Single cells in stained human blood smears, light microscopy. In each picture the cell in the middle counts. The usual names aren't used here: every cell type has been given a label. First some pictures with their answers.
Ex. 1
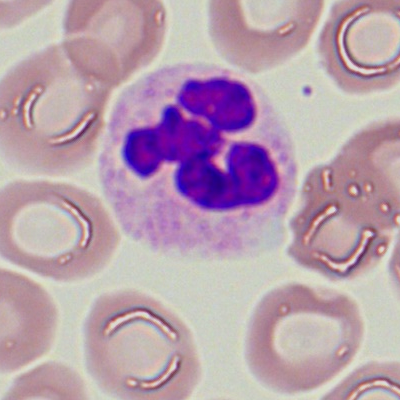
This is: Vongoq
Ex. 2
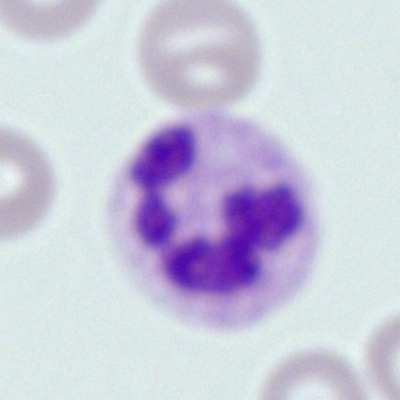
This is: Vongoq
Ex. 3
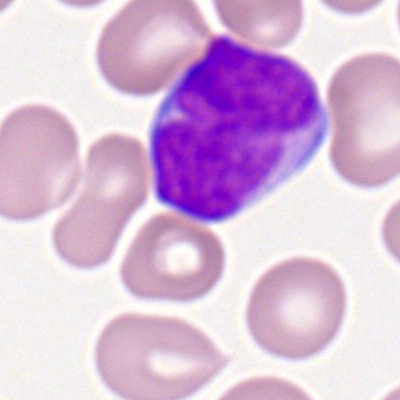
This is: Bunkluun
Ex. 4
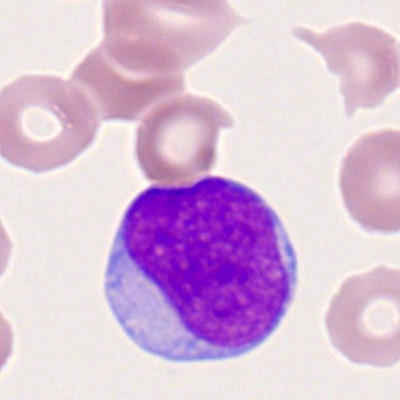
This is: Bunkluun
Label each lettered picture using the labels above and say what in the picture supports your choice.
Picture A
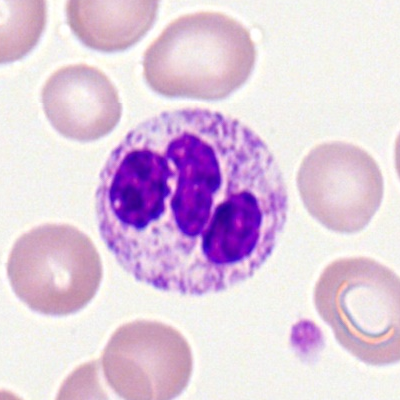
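Vongoq: The nucleus is divided into three lobes.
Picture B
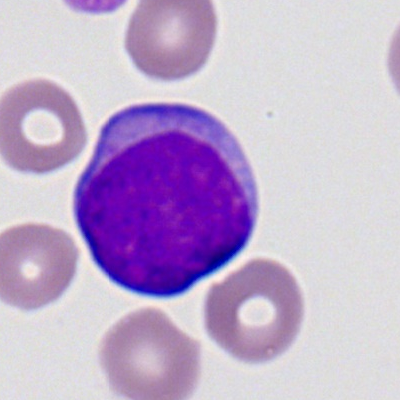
Bunkluun: The cytoplasm is a narrow rim that is widest along the upper edge of the cell.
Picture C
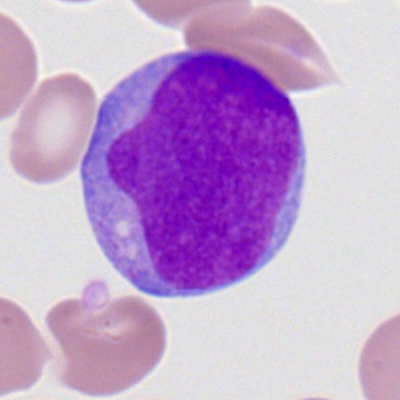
Bunkluun: The nucleus fills most of the cell and lies toward the right.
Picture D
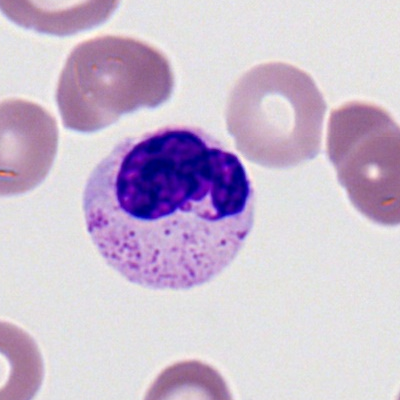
Vongoq: The cytoplasm is plentiful and pale pinkish-lilac.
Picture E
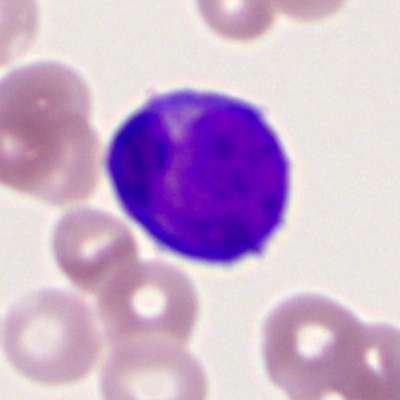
Bunkluun: Cytoplasm shows as at most a very thin rim around the nucleus.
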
